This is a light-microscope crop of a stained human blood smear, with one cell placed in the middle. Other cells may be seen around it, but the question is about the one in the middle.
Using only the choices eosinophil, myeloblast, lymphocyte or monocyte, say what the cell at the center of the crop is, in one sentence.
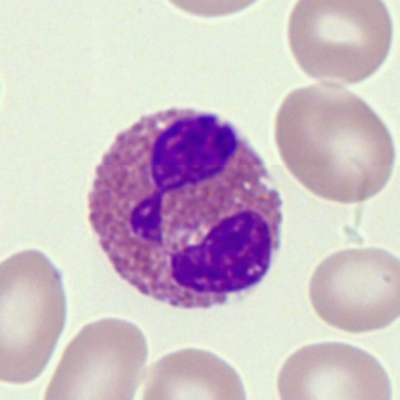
The central cell, amid any neighbouring cells, is an eosinophil.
